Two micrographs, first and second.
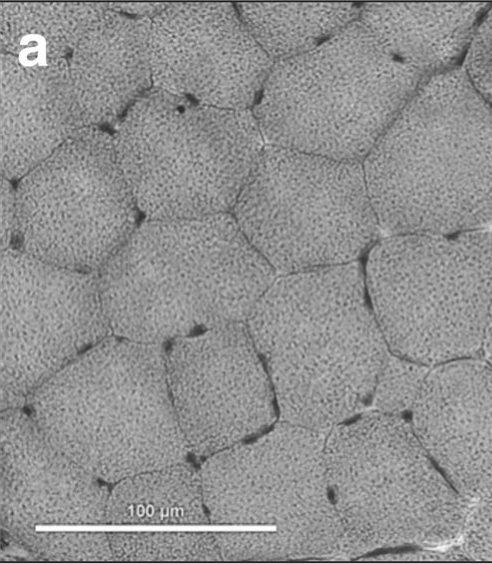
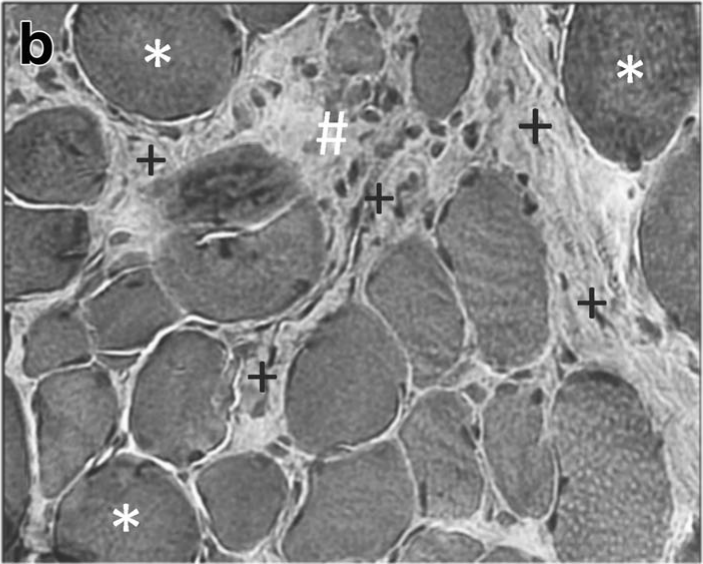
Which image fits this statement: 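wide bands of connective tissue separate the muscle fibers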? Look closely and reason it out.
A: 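Second image: rounded fibers lie apart in broad pale fibrous tissue. First image: polygonal fibers touch each other with only thin lines between them. So: the second image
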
